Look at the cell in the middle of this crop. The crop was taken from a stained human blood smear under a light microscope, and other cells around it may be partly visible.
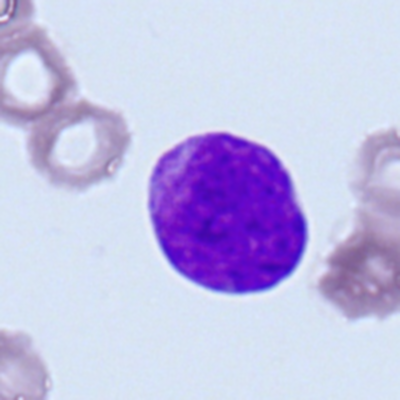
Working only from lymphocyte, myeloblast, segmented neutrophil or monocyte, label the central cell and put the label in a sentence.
As for the central cell, it is a myeloblast.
